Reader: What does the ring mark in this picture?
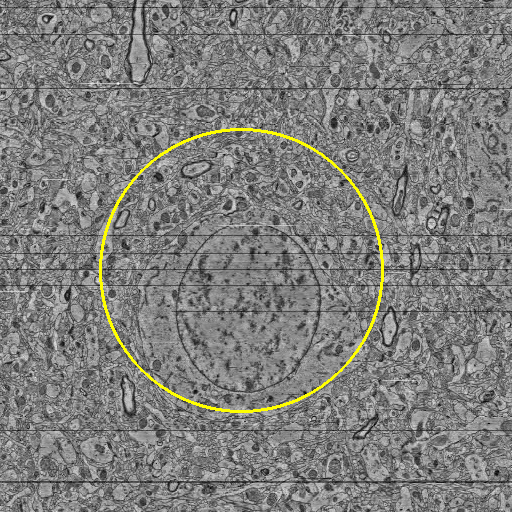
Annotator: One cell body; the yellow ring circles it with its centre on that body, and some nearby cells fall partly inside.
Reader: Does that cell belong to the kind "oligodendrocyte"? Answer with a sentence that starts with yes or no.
No, the cell at the ring's centre in this picture is of another kind.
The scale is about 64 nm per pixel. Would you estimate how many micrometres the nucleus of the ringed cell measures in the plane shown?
The nucleus measures about 11 by 9 micrometres in this plane.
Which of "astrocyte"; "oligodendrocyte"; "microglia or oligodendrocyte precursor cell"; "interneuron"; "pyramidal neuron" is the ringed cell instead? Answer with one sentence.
The ringed cell in this picture is, instead, a pyramidal neuron.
